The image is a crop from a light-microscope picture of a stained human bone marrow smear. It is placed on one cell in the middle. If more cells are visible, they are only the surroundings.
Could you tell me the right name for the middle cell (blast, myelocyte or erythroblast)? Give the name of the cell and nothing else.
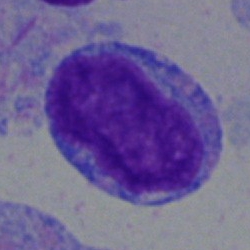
blast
